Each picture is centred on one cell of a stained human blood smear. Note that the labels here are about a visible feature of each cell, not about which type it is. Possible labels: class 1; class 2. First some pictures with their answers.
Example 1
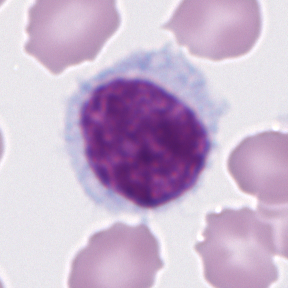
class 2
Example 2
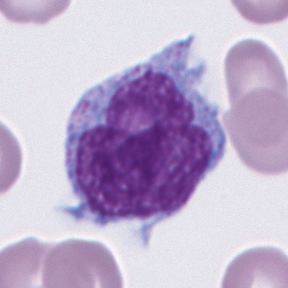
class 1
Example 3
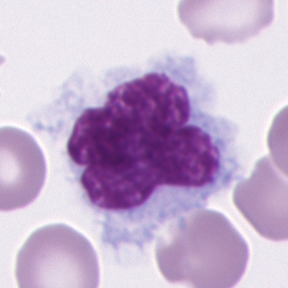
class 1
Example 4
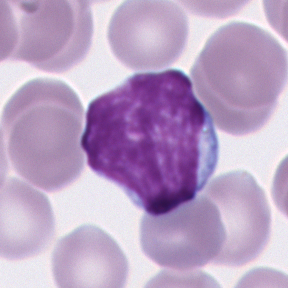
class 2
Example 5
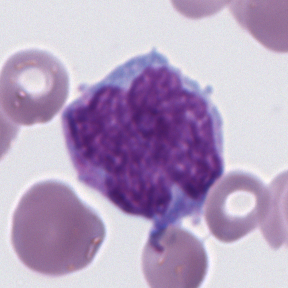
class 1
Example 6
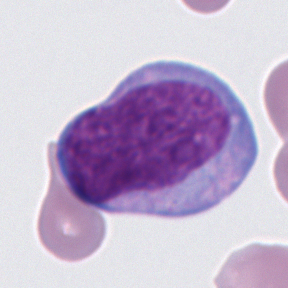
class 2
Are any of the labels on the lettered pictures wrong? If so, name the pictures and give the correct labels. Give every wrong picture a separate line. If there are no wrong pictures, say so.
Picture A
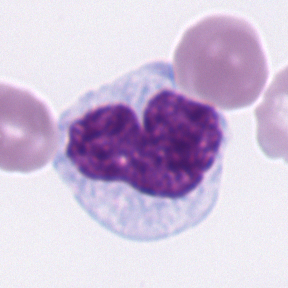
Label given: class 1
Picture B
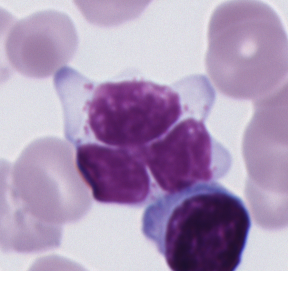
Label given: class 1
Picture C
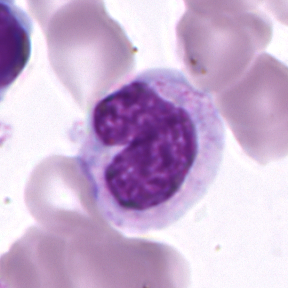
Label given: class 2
Nothing to fix; every label fits.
